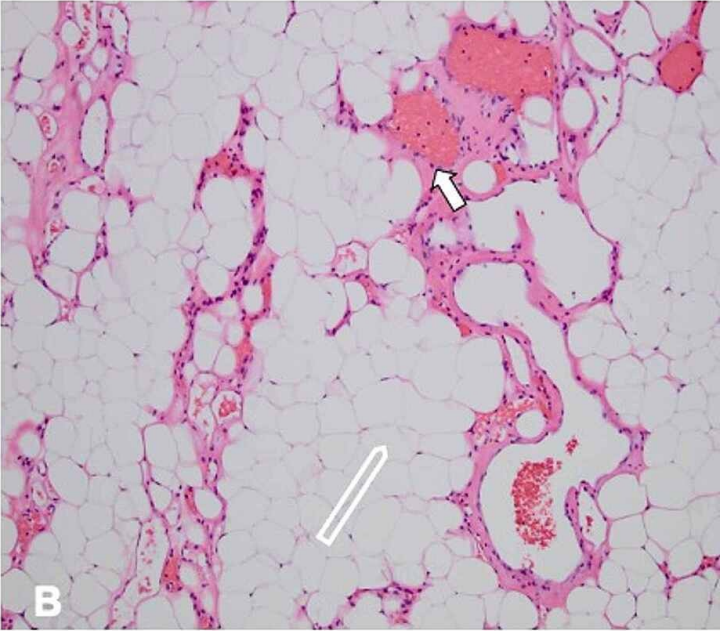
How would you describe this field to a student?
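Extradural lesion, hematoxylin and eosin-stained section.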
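Mature adipose tissue is shown, made of large, clear, rounded fat cells whose thin pink membranes form a honeycomb, with only a few small flattened nuclei pressed to their edges. Running between the fat cells are pink fibrous strands carrying thin-walled blood vessels of different sizes, lined by flat cells and filled with red blood cells. The nuclei look small and uniform throughout.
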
